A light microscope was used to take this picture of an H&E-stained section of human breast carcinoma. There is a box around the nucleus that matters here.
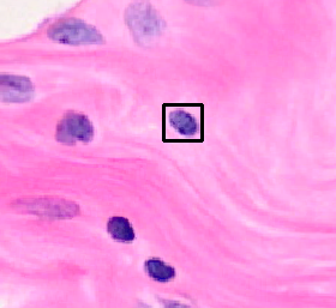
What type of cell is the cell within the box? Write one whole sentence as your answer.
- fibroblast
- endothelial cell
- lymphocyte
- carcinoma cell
In this tissue section, the cell within the box is to be classed as a lymphocyte.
